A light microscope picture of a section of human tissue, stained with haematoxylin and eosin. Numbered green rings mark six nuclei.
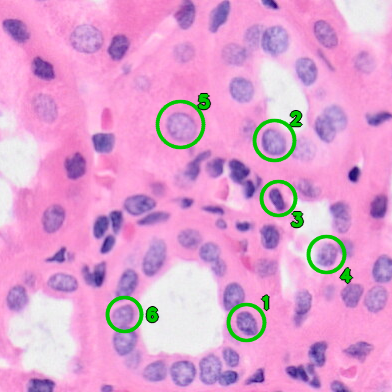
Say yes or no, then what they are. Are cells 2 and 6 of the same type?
Yes, cells 2 and 6 fall into the same group, both being collecting duct cells.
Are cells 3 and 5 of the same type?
No, that's off: cell 3 is a loop of Henle or distal tubule cell and cell 5 is a proximal tubule cell.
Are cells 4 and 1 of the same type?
No, listen: cell 4 is a loop of Henle or distal tubule cell and cell 1 is a collecting duct cell.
